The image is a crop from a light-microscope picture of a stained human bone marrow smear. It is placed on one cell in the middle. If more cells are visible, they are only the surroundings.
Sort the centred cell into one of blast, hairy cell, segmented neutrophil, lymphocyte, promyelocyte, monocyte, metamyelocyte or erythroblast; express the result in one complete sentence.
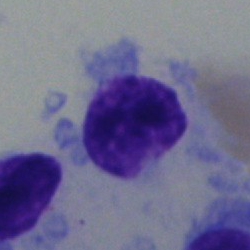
The middle cell in this particular crop is a hairy cell.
